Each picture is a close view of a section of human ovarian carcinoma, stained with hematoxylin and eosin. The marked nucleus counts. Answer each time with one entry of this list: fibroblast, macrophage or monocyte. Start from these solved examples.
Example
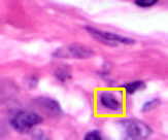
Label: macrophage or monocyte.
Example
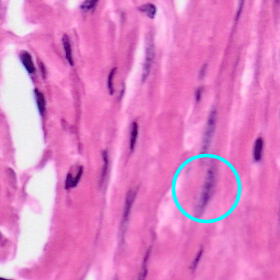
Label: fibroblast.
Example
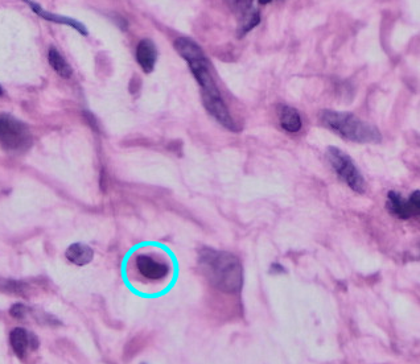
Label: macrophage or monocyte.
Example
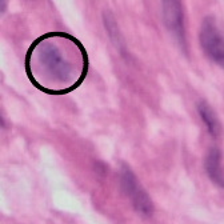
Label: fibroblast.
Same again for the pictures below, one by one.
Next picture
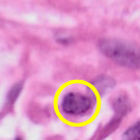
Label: macrophage or monocyte.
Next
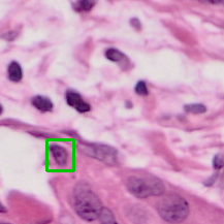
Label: macrophage or monocyte.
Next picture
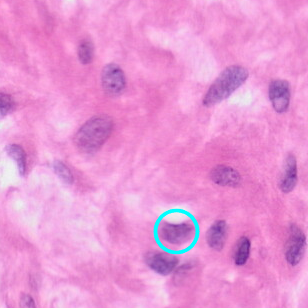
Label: fibroblast.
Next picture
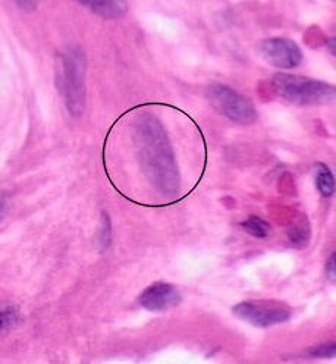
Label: fibroblast.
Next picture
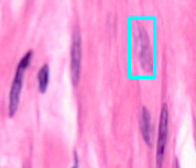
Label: fibroblast.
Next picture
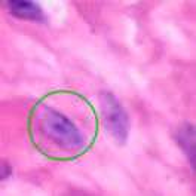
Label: fibroblast.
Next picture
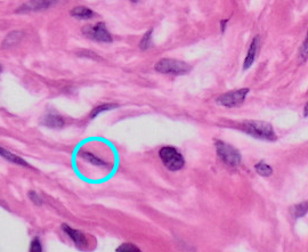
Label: fibroblast.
